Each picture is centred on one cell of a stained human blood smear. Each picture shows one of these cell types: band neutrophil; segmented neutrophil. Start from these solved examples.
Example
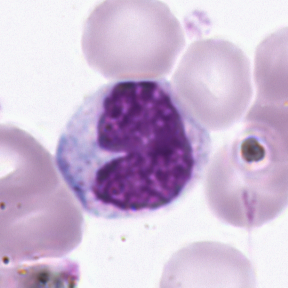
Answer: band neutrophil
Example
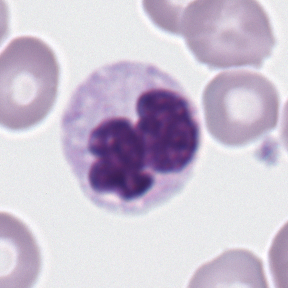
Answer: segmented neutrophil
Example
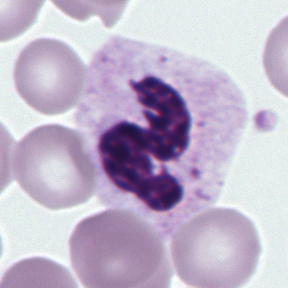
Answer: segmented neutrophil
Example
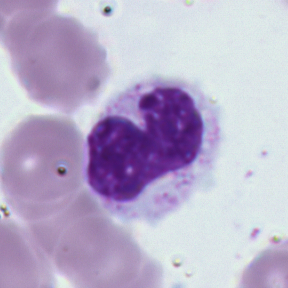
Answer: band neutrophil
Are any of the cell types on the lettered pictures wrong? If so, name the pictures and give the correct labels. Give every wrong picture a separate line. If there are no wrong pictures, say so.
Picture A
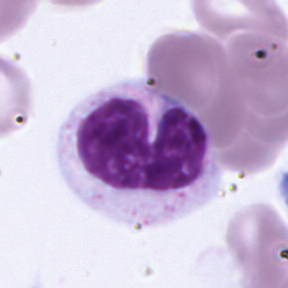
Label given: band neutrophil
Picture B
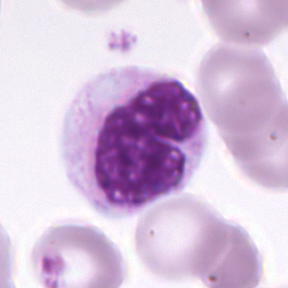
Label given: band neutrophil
All correct.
